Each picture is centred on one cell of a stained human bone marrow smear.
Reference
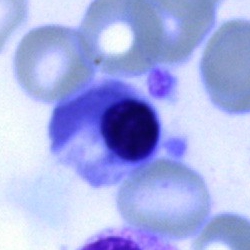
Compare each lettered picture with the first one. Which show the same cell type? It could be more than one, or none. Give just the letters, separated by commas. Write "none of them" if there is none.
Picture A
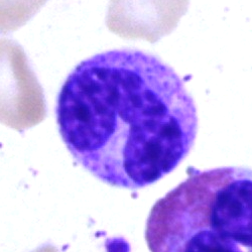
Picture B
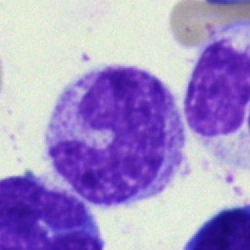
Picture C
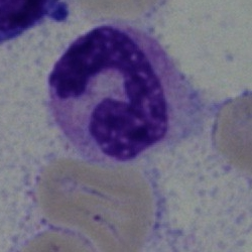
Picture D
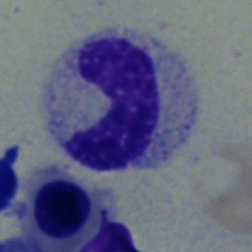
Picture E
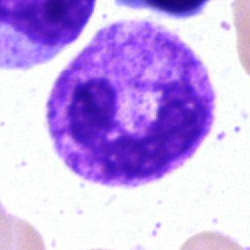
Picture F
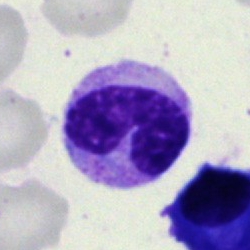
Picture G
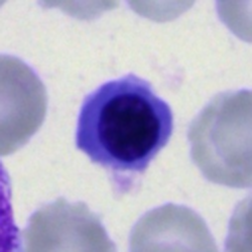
G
